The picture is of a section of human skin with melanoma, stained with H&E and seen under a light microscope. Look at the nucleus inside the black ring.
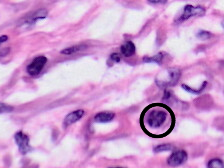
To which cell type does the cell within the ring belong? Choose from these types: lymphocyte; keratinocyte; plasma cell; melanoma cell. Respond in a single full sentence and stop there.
As classified here, the cell within the ring is a plasma cell.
